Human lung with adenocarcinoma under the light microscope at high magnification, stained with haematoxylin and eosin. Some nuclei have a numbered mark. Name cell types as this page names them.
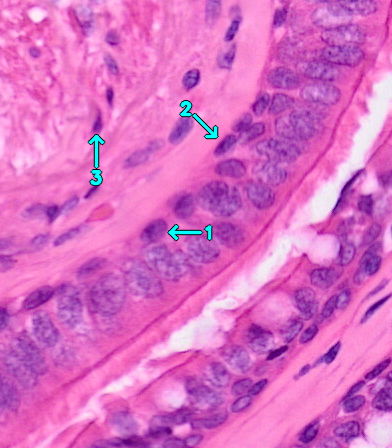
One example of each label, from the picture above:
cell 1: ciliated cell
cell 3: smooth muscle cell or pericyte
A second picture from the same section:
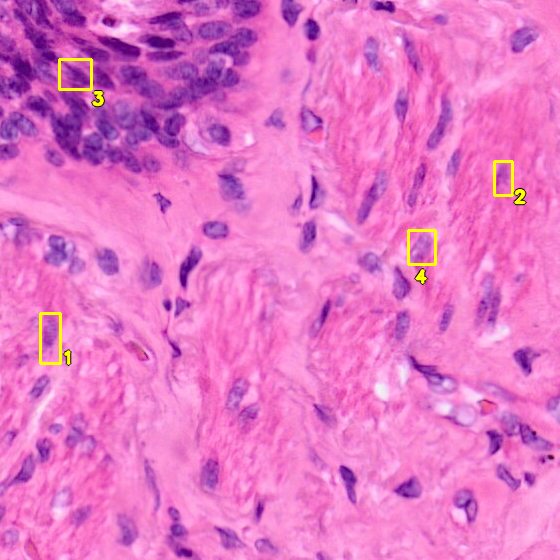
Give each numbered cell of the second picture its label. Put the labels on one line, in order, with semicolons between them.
smooth muscle cell or pericyte; smooth muscle cell or pericyte; ciliated cell; smooth muscle cell or pericyte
